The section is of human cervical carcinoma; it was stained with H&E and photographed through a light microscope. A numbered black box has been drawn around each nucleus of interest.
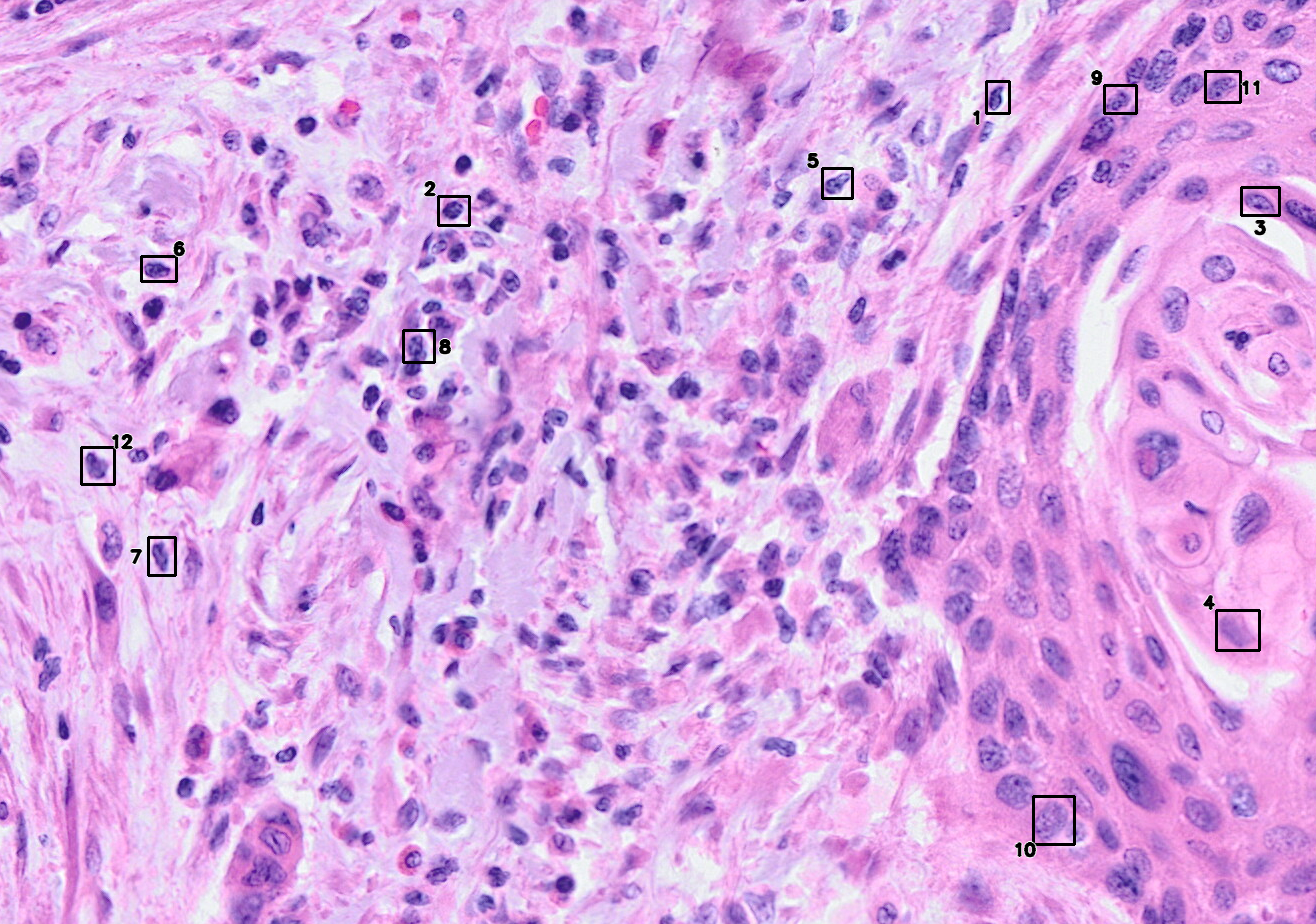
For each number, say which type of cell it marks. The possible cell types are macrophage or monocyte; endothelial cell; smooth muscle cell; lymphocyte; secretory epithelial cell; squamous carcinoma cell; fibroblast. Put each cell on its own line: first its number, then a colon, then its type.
1: lymphocyte
2: lymphocyte
3: squamous carcinoma cell
4: squamous carcinoma cell
5: lymphocyte
6: lymphocyte
7: lymphocyte
8: lymphocyte
9: squamous carcinoma cell
10: squamous carcinoma cell
11: squamous carcinoma cell
12: lymphocyte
